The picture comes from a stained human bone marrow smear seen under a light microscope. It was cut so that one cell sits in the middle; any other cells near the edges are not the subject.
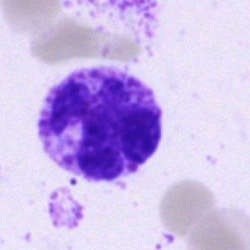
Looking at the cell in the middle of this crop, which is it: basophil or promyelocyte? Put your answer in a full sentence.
This crop's central cell is a basophil.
